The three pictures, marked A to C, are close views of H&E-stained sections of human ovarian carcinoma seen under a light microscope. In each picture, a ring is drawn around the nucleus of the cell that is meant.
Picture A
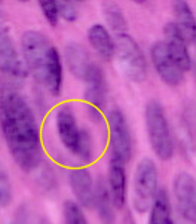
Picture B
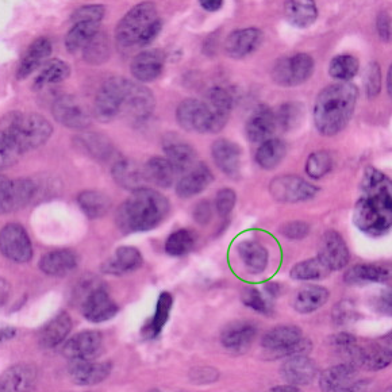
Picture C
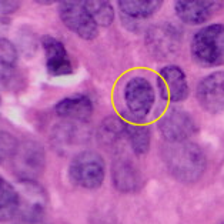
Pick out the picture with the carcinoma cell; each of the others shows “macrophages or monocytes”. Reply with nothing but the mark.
A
